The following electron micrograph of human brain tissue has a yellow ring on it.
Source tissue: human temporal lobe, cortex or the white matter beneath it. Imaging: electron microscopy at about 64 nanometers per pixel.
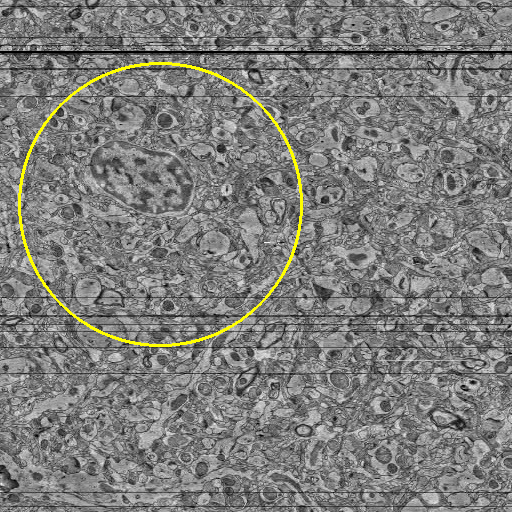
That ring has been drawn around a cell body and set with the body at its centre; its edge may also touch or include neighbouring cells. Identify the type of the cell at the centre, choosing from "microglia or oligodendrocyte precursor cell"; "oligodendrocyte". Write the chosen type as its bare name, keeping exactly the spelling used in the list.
microglia or oligodendrocyte precursor cell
